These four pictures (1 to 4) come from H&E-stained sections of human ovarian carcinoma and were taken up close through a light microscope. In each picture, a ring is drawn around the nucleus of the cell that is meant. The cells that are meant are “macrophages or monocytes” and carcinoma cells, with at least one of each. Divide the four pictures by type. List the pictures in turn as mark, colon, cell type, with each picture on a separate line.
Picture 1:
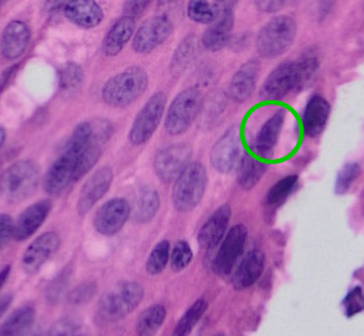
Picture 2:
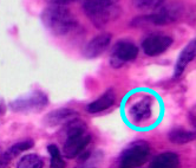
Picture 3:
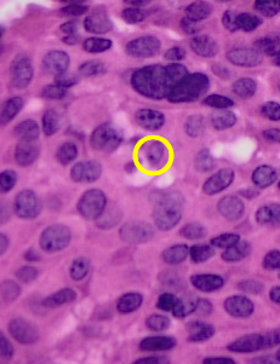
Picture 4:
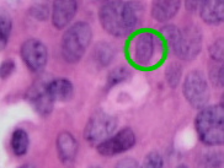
1: carcinoma cell
2: macrophage or monocyte
3: macrophage or monocyte
4: carcinoma cell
